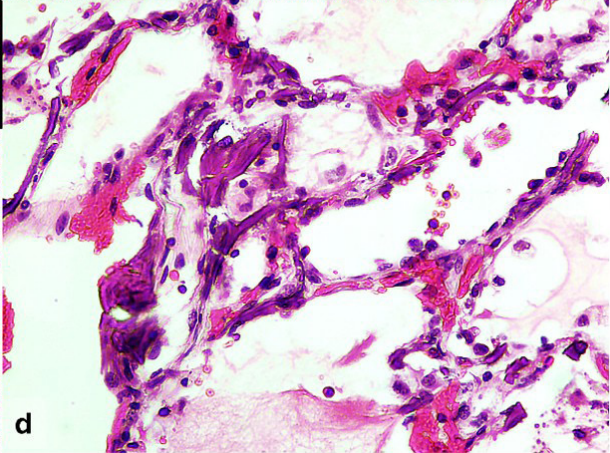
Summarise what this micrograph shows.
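Lung tissue at high magnification shows thin alveolar septa outlining wide, irregular air spaces. Along the septa and lining the alveolar walls lie dark purple, angular, fractured deposits that coat the wall surface. The septa carry small dark nuclei of lining and interstitial cells. Red blood cells are spread in patches along the septa and lie loose within the alveolar spaces. Several alveoli hold pale pink, smooth, faintly streaked fluid instead of air. The overall architecture of the septa is preserved, but they appear stiffened and encrusted by the purple material.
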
